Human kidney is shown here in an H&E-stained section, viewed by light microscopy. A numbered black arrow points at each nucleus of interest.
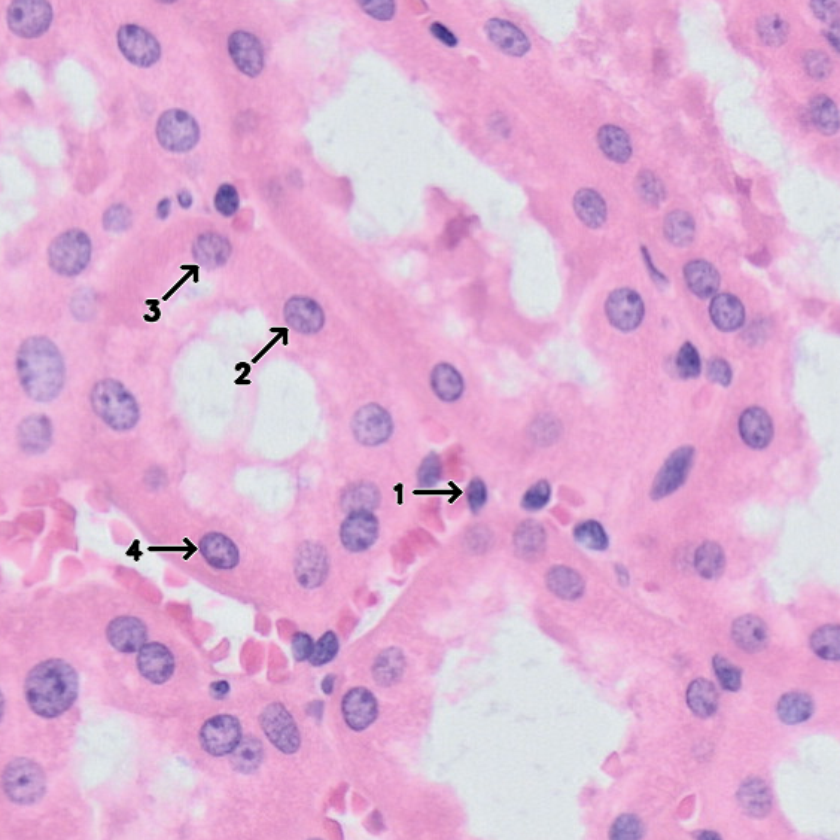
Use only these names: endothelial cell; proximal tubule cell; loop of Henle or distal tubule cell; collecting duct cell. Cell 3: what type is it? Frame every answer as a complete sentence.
It is as a proximal tubule cell that the cell numbered 3 is identified.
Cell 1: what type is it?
The cell to which the number 1 is assigned is an endothelial cell.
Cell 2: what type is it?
The cell marked with number 2 is a proximal tubule cell.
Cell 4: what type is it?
The cell identified by the number 4 is a proximal tubule cell.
